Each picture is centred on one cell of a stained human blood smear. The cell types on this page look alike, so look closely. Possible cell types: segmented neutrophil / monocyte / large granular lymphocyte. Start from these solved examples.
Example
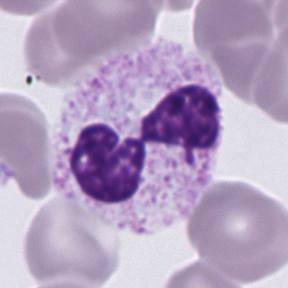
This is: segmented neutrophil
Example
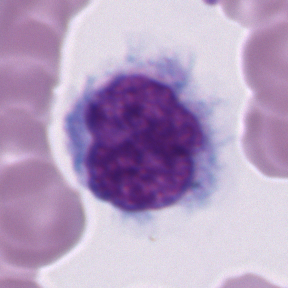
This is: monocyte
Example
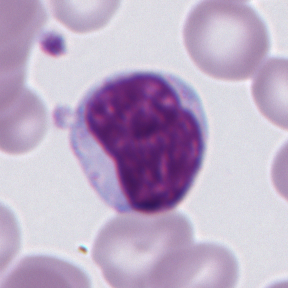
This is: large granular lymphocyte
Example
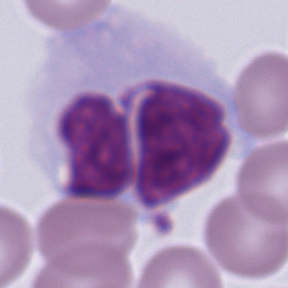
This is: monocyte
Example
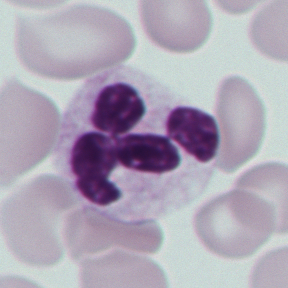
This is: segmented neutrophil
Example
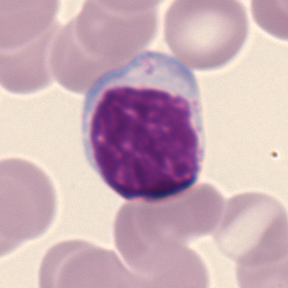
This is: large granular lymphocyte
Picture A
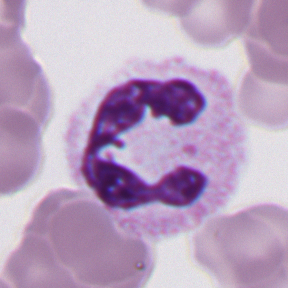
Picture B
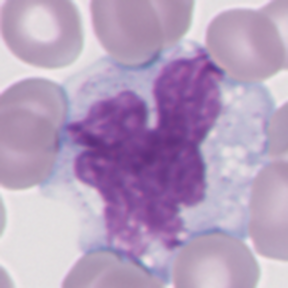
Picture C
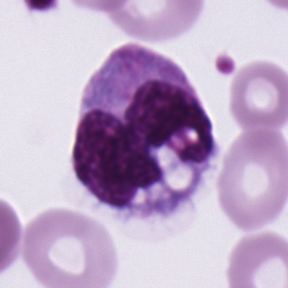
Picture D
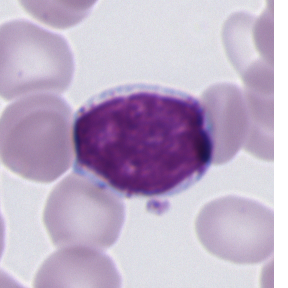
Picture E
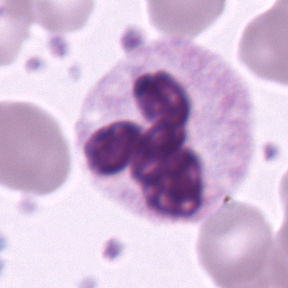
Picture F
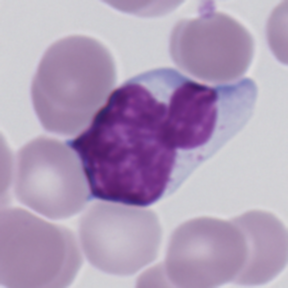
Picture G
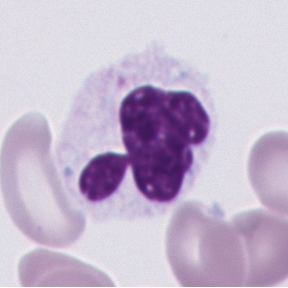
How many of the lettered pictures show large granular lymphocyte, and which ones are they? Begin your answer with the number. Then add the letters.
2: D, F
